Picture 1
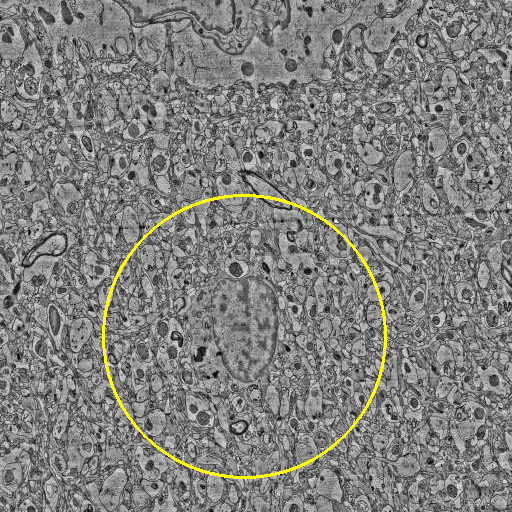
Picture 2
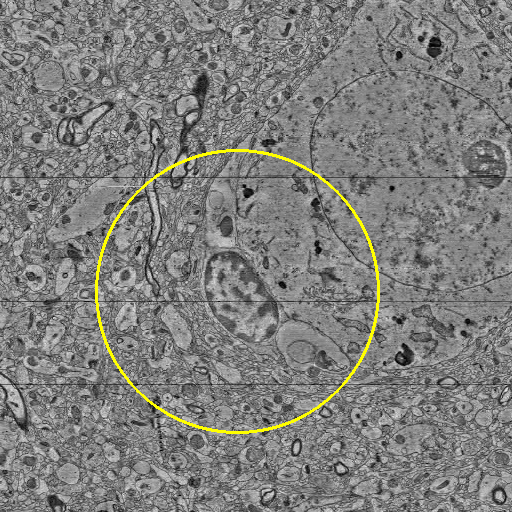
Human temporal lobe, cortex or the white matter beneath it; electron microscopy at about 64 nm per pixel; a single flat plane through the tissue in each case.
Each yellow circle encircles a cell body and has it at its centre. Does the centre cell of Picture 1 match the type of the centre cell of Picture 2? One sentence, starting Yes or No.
No, the cell centred in Picture 1 and the one in Picture 2 have separate types.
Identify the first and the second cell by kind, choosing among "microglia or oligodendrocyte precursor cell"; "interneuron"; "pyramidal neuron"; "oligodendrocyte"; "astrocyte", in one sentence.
The one in the first picture is an oligodendrocyte, while the one in the second is a microglial cell or oligodendrocyte precursor cell.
